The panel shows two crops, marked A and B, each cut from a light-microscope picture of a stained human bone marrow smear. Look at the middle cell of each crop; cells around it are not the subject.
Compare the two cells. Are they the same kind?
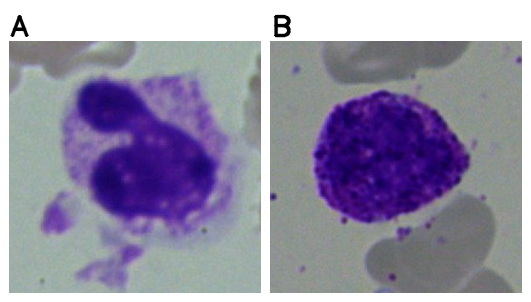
no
